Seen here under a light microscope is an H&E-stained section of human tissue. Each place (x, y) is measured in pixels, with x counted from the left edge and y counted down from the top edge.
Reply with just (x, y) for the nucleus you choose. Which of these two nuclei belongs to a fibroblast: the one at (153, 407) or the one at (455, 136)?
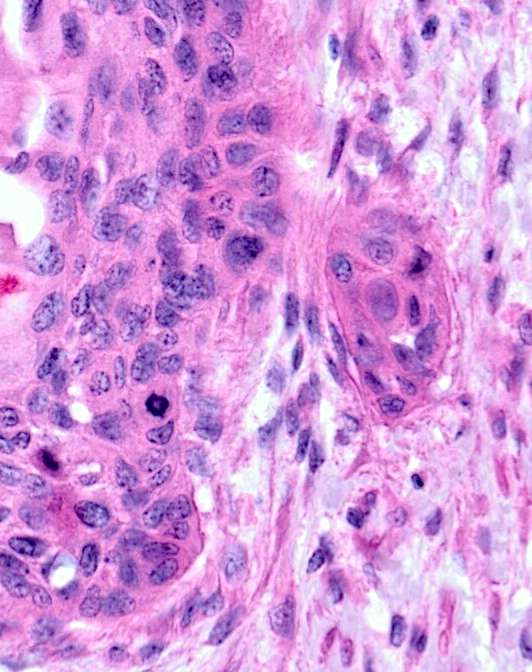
(455, 136)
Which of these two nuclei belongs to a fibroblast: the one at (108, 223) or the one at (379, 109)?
(379, 109)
